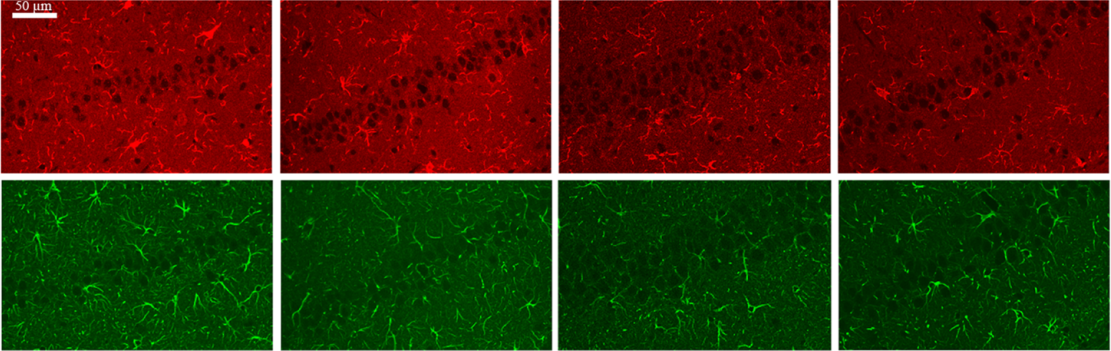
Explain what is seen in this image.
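These are glia cells in the hippocampus. In the green rows, star-shaped cells send out many long, thin processes in all directions.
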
